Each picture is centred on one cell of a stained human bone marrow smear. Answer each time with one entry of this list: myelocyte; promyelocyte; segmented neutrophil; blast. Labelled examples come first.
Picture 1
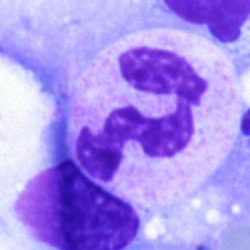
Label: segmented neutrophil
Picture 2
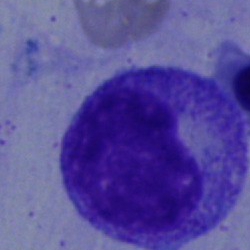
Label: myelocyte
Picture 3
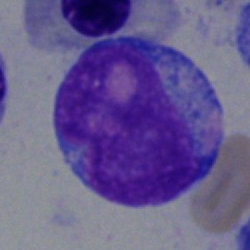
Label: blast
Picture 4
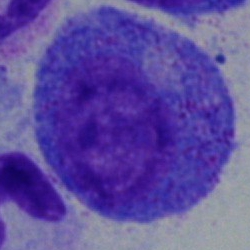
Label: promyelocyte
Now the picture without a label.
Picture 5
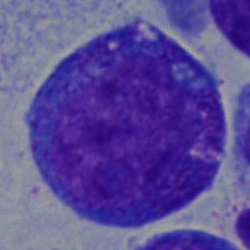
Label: promyelocyte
